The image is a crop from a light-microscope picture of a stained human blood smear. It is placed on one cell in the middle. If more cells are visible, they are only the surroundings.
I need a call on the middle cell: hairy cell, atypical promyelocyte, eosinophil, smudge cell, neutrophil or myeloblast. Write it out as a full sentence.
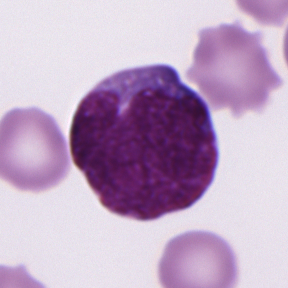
The cell centred in this crop is categorized as a myeloblast.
